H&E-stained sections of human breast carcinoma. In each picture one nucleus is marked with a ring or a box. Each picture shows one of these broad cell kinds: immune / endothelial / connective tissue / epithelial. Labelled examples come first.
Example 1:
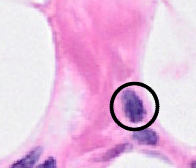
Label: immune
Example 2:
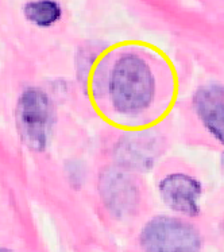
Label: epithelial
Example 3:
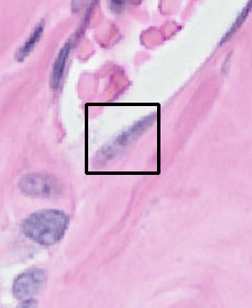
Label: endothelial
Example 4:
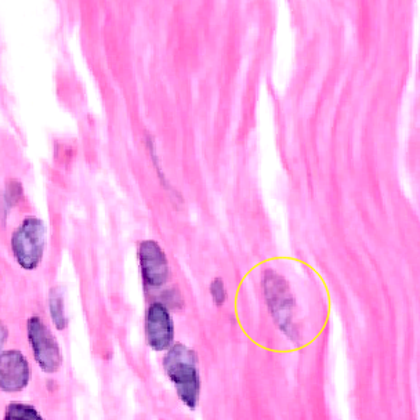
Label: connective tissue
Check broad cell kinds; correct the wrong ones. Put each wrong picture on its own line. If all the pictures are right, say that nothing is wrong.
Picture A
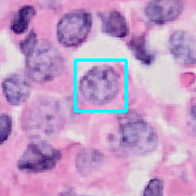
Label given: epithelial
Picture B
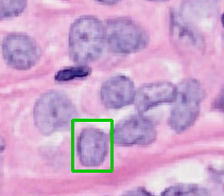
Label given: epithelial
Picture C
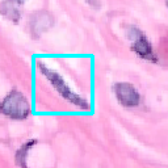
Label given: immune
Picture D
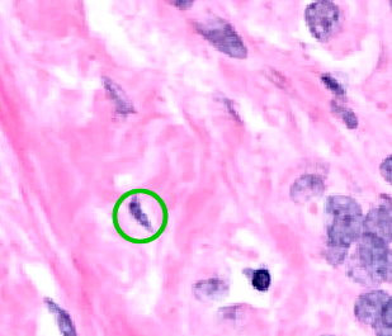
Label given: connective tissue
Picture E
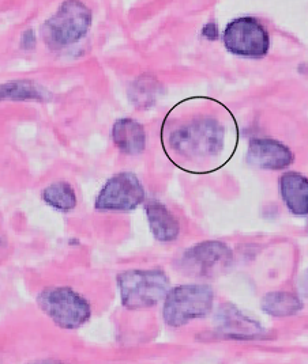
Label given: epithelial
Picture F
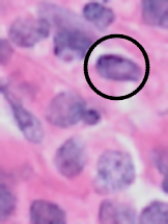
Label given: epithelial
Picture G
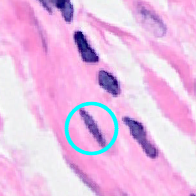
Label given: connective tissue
C is labelled immune; correct label: connective tissue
